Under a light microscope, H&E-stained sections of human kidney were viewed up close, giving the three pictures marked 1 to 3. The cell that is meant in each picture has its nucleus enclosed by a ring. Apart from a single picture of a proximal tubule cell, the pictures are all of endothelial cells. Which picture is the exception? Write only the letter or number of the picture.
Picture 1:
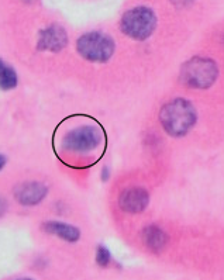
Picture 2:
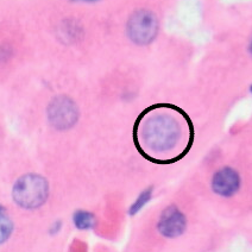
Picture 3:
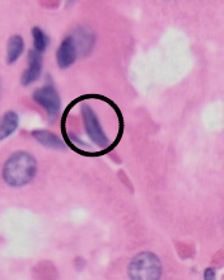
2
